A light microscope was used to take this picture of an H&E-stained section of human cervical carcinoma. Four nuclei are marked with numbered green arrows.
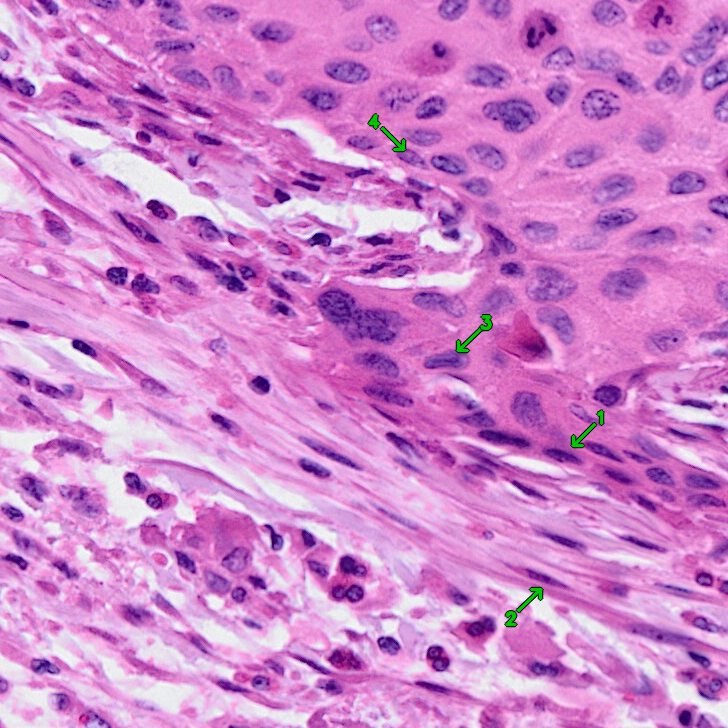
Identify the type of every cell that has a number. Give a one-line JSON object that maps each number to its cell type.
{"1": "squamous carcinoma cell", "2": "fibroblast", "3": "squamous carcinoma cell", "4": "squamous carcinoma cell"}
